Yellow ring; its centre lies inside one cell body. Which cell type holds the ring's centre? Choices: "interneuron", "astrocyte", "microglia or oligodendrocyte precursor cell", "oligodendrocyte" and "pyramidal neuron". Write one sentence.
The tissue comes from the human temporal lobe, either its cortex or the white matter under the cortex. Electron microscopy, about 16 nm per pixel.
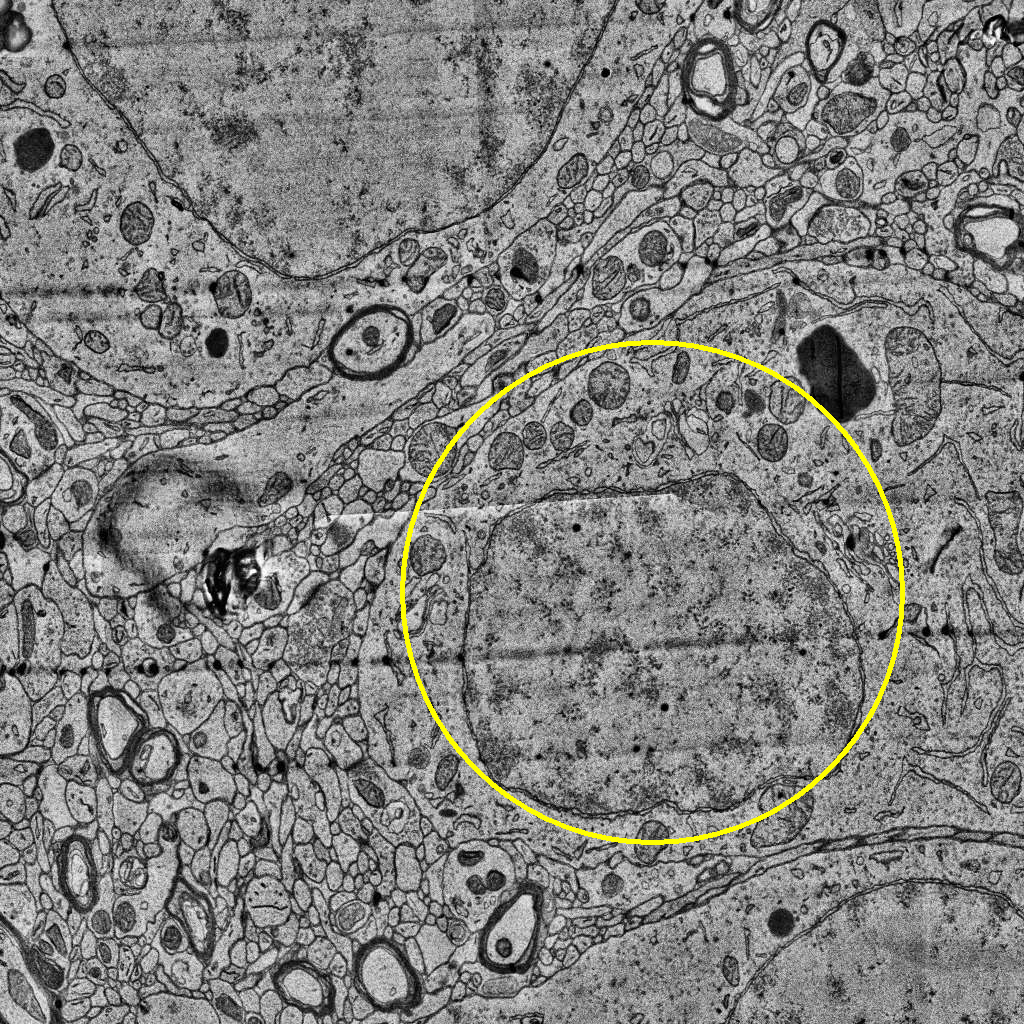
At the centre of the ring sits an interneuron.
